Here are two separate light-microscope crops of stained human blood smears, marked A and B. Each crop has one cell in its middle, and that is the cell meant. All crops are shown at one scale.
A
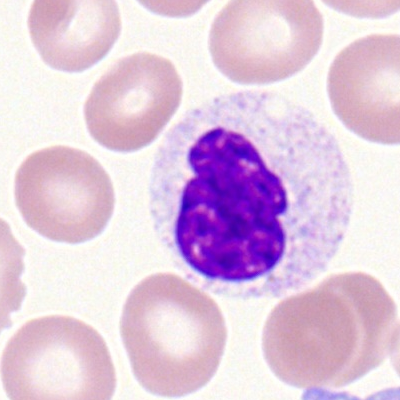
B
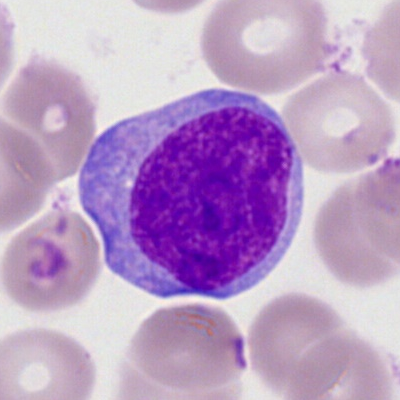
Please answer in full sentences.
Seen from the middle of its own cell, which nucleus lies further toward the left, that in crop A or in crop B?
Seen within its cell, the nucleus in crop A lies further toward the left.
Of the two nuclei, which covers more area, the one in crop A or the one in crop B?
Larger is the nucleus in crop B, at roughly 1.5 times the area of the other.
